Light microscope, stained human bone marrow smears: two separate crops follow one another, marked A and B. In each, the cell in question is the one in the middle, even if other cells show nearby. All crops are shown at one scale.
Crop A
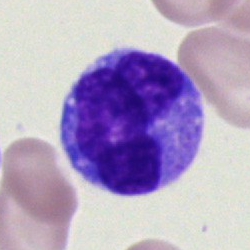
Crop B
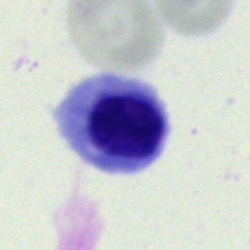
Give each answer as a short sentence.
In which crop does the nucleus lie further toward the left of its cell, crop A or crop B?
Seen within its cell, the nucleus in crop A lies further toward the left.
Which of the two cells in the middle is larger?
Larger is the cell in crop A, at roughly 2 times the area of the other.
